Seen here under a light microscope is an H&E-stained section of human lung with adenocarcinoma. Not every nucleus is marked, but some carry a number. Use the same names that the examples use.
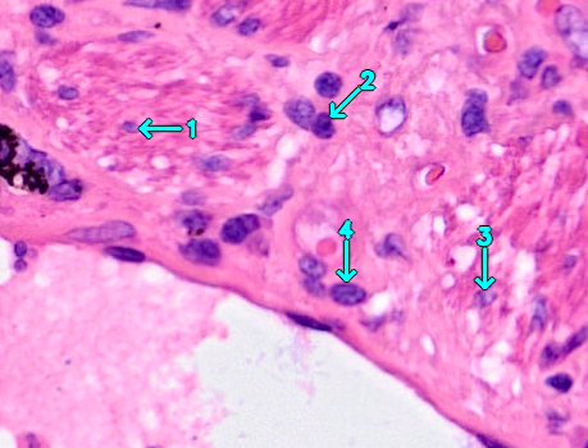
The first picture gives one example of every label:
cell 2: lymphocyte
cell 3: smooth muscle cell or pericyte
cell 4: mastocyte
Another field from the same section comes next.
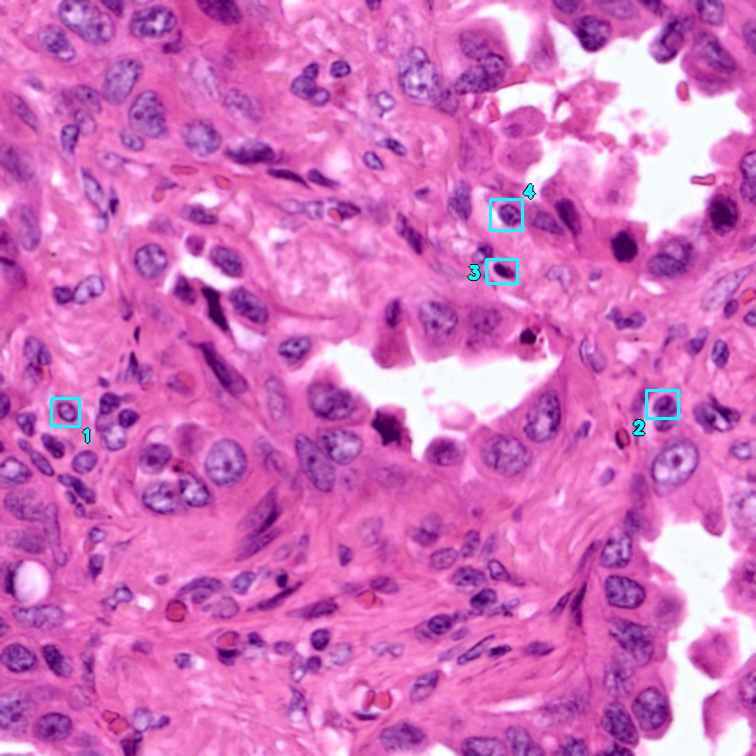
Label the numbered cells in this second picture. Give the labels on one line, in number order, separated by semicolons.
mastocyte; lymphocyte; lymphocyte; lymphocyte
